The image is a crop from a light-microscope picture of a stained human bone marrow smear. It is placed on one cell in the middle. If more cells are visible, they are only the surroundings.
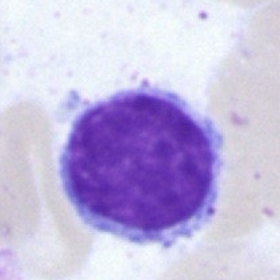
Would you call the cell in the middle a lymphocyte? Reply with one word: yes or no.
yes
